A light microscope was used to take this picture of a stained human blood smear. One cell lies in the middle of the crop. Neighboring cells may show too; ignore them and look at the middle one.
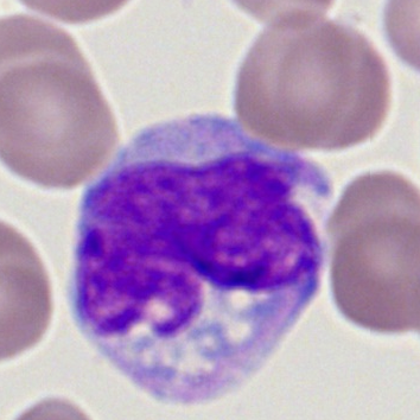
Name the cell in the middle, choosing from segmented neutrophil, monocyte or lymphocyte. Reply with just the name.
monocyte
